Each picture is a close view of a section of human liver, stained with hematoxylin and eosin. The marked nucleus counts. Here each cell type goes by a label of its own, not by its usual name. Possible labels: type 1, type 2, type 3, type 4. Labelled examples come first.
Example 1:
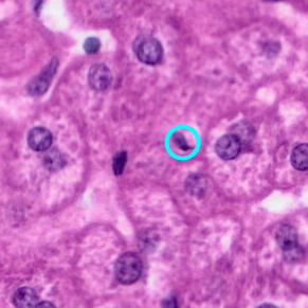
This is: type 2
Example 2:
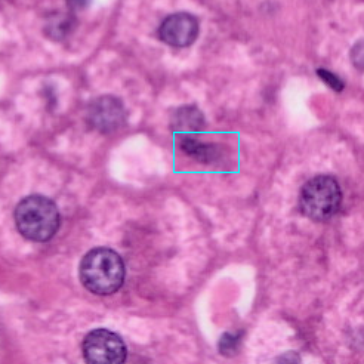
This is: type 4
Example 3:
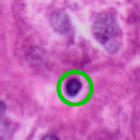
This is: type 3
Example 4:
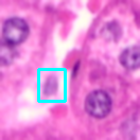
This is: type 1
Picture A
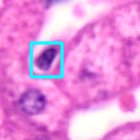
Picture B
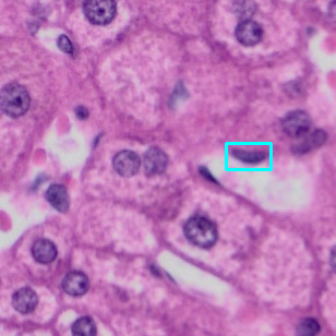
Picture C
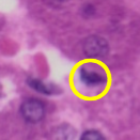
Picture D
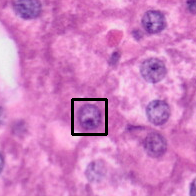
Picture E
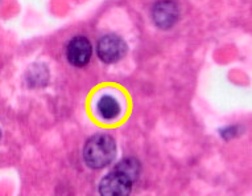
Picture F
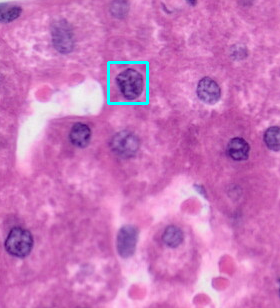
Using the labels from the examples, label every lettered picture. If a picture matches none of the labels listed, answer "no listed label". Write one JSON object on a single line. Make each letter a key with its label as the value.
{"A": "type 1", "B": "type 4", "C": "type 2", "D": "no listed label", "E": "type 3", "F": "no listed label"}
